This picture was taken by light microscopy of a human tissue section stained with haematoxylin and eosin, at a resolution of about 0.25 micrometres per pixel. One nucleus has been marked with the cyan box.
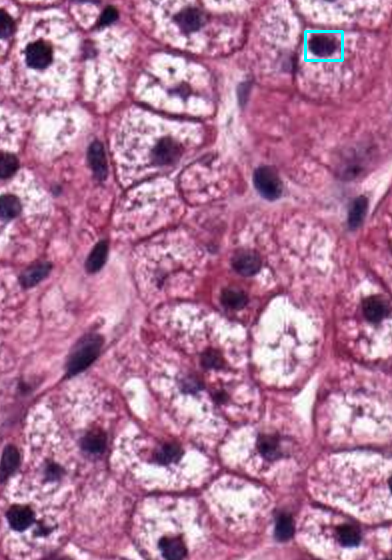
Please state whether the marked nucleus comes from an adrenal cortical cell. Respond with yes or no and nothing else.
yes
